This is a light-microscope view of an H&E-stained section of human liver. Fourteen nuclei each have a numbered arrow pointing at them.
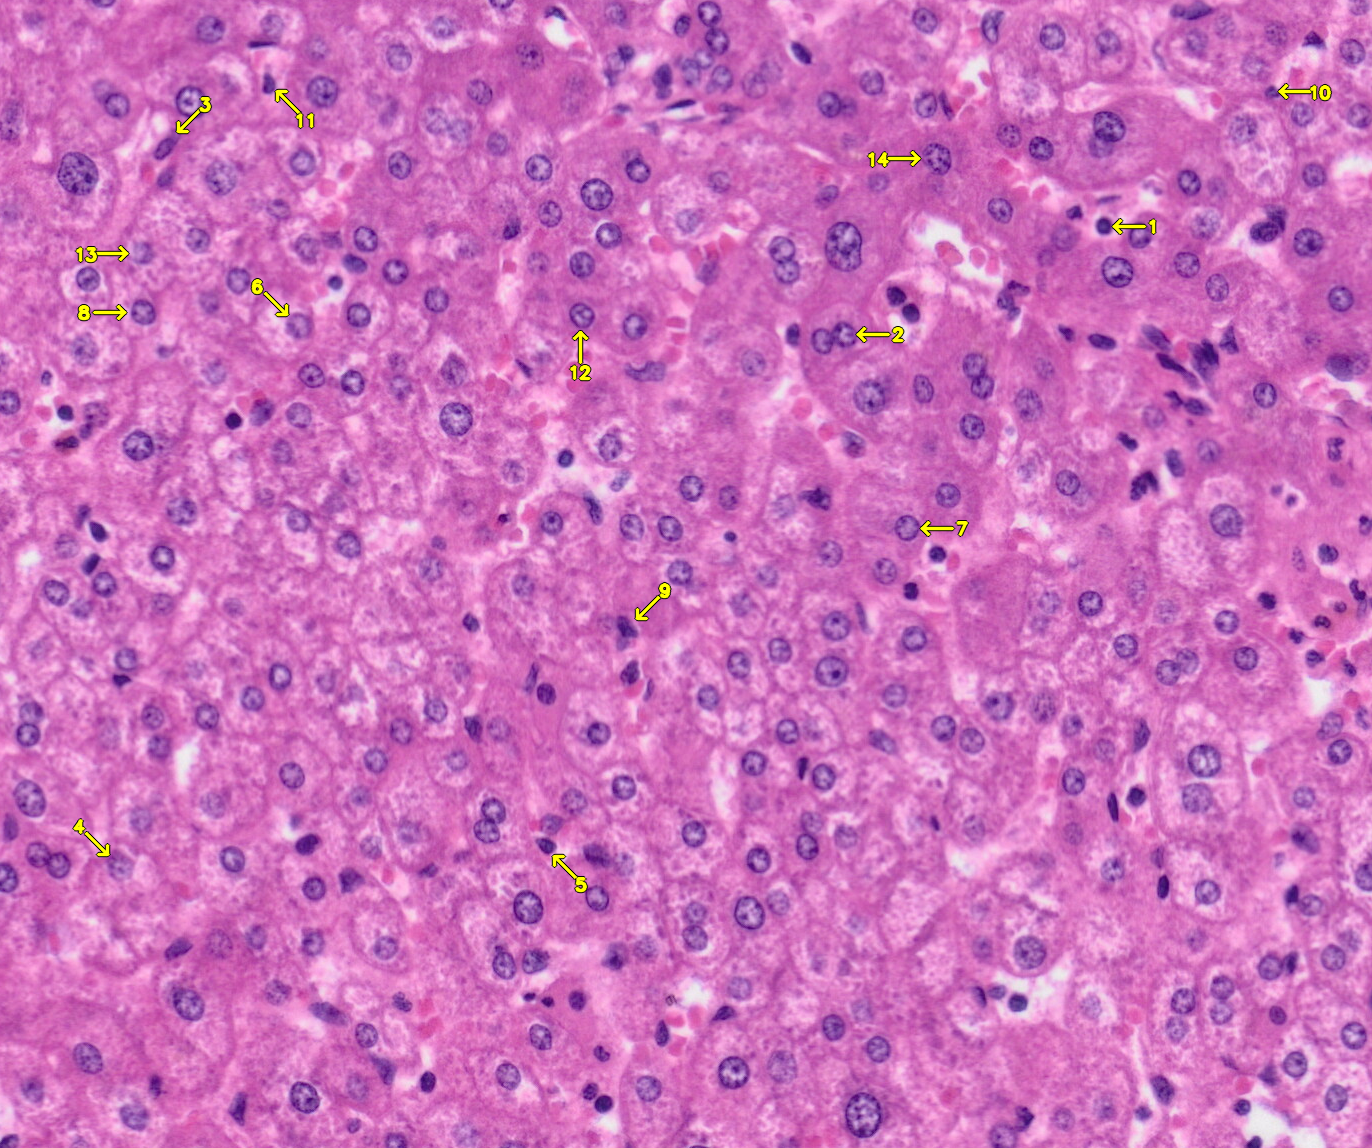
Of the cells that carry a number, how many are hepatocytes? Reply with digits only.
8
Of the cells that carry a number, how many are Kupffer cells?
1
